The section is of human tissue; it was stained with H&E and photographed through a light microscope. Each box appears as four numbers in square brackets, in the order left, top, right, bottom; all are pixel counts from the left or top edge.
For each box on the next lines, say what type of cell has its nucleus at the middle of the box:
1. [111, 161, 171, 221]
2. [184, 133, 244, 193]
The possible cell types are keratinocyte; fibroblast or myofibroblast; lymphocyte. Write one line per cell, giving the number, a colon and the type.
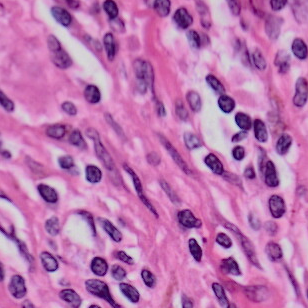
1: fibroblast or myofibroblast
2: lymphocyte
